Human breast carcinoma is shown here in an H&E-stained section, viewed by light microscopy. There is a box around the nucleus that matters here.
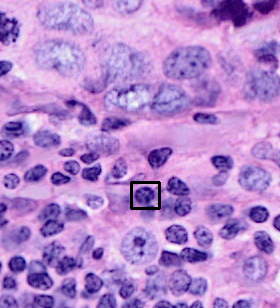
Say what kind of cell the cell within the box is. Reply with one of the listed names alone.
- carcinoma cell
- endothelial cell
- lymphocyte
lymphocyte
